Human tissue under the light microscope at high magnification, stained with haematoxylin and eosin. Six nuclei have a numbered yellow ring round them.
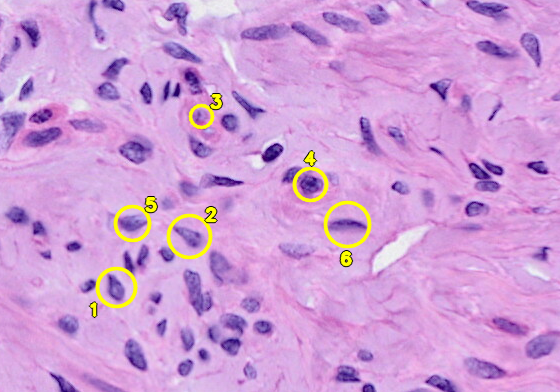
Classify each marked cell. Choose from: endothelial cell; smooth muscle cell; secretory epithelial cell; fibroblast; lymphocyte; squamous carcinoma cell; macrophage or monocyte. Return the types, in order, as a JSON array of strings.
["fibroblast", "fibroblast", "endothelial cell", "endothelial cell", "fibroblast", "fibroblast"]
